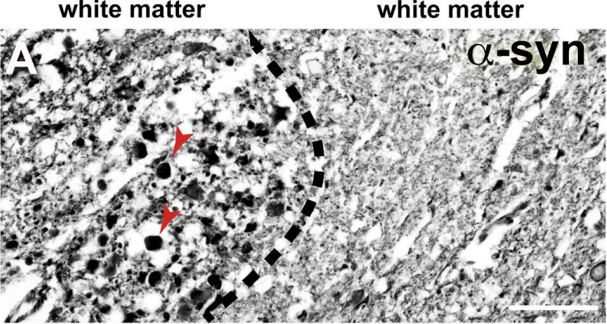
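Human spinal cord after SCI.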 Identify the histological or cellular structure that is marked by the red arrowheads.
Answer: Large aggregates resembling axons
